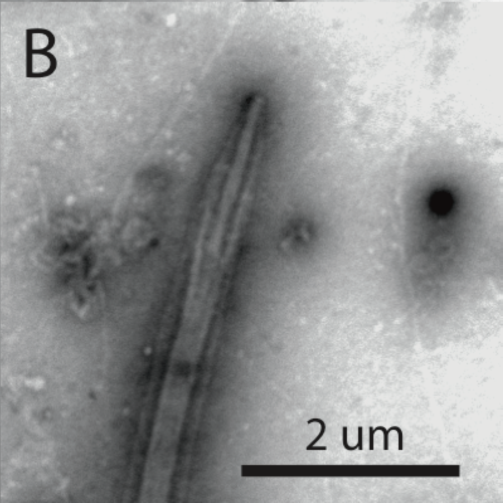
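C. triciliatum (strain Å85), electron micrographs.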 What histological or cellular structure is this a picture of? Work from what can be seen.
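A single slender rod-like structure tapers to a narrow end at the top. Its outer boundary narrows toward the end. The answer: tip of flagellum.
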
